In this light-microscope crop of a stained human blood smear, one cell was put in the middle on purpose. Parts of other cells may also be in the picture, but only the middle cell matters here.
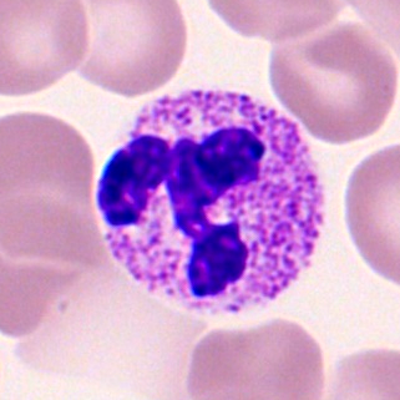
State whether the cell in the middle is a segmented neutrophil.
yes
